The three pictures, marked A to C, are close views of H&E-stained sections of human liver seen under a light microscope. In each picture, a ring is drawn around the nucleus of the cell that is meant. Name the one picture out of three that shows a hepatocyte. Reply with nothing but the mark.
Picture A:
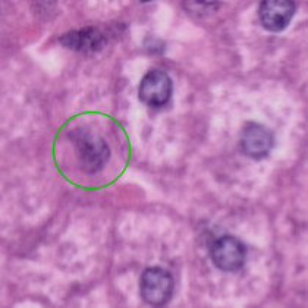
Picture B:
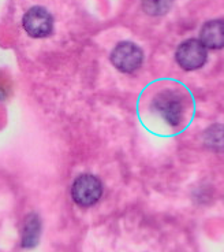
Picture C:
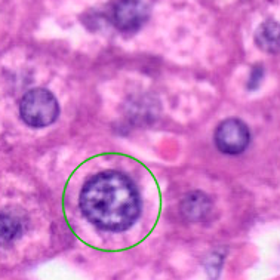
C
